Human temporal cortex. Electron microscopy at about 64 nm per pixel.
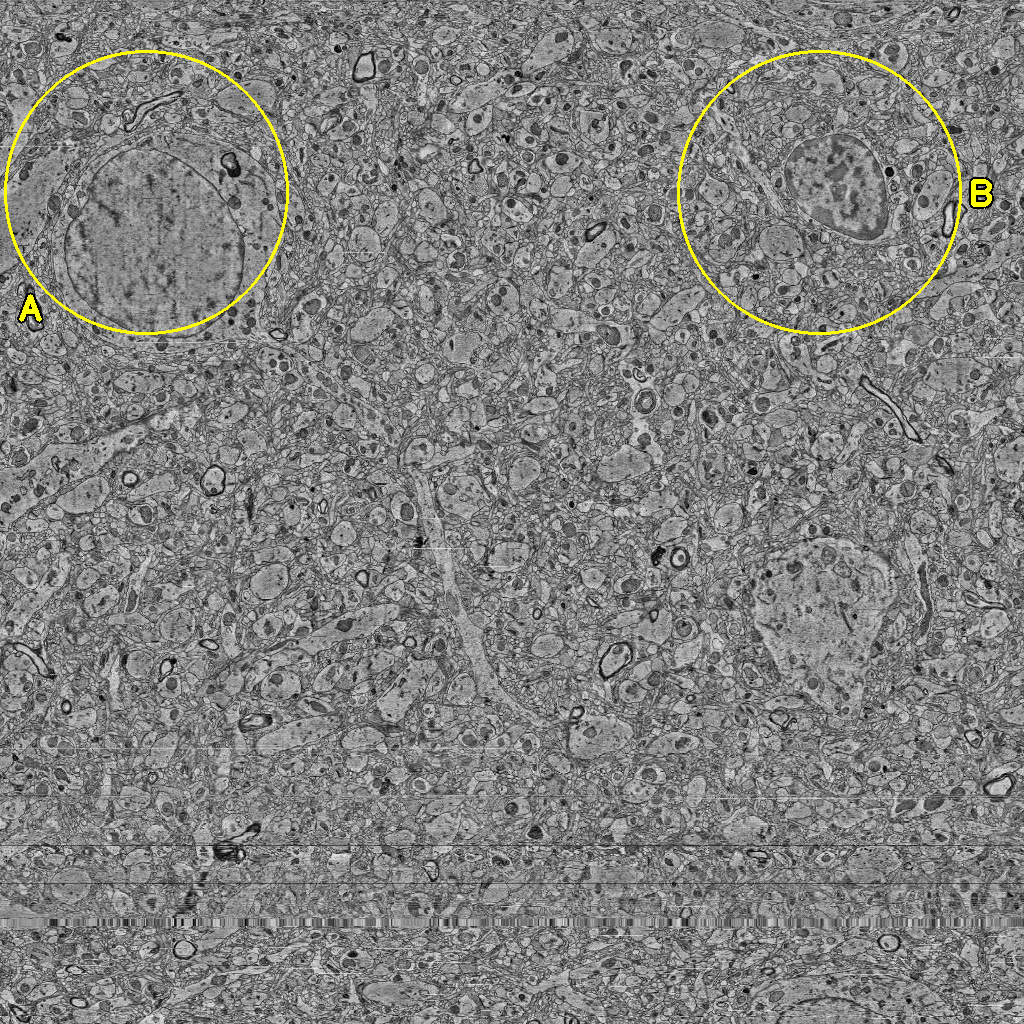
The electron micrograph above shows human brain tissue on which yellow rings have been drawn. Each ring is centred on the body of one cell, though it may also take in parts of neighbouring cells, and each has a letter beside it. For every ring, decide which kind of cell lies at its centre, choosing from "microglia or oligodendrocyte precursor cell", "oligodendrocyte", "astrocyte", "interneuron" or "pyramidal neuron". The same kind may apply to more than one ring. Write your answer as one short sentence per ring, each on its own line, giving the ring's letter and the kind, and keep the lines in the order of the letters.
Ring A is centred on a pyramidal neuron.
Ring B is centred on a microglial cell or oligodendrocyte precursor cell.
